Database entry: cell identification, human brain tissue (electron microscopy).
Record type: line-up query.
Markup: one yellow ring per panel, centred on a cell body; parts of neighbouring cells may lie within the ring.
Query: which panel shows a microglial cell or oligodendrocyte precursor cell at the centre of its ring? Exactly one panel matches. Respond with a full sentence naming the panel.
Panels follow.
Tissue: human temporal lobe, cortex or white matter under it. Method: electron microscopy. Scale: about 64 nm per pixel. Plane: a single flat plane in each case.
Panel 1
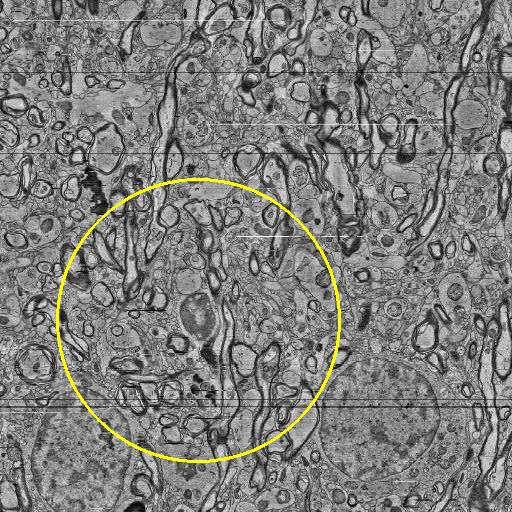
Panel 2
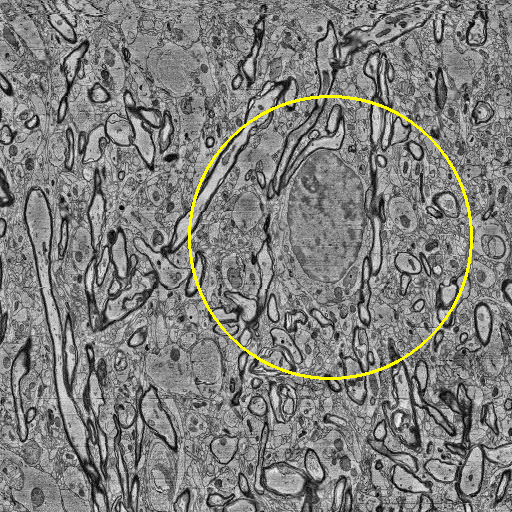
Panel 1 shows it at the centre of the ring.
